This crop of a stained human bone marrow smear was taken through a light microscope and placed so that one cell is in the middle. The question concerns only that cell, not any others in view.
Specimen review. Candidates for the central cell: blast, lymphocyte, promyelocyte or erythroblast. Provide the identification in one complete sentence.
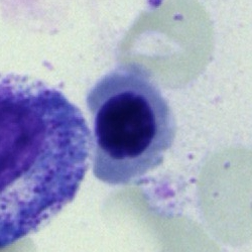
What the crop centres on is an erythroblast.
